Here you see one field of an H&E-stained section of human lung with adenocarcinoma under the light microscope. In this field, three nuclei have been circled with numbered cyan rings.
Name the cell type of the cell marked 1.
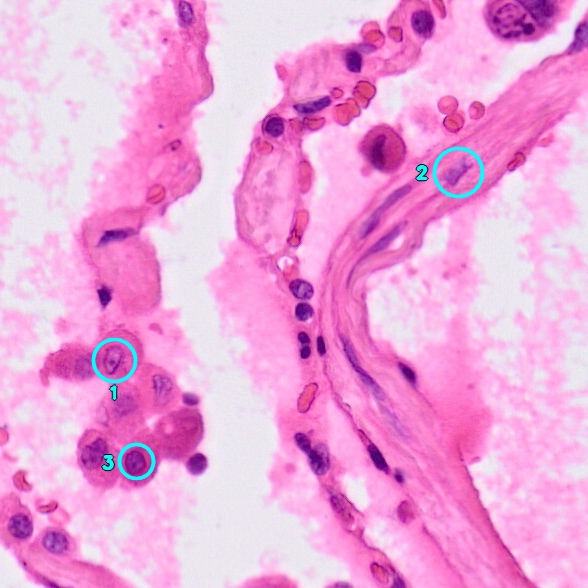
macrophage or monocyte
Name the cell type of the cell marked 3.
macrophage or monocyte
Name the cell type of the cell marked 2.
smooth muscle cell or pericyte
